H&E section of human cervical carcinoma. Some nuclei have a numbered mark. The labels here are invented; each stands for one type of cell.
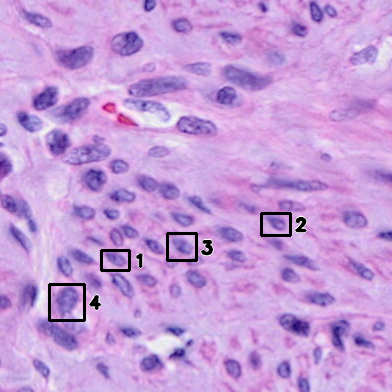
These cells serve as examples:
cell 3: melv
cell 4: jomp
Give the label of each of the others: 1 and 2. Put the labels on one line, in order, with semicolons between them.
melv; melv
